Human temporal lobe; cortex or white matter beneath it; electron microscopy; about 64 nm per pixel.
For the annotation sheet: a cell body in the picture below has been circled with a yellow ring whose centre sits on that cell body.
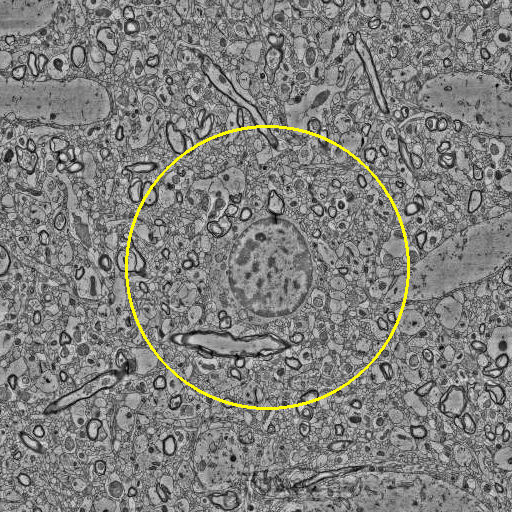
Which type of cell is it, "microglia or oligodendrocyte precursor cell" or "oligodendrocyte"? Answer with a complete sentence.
The circled cell is an oligodendrocyte.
